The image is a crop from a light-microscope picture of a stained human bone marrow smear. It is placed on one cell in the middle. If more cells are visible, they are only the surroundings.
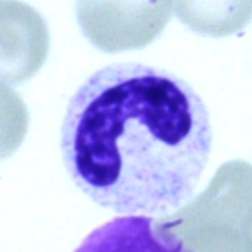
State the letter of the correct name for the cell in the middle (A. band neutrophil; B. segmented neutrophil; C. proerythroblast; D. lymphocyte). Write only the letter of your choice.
B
